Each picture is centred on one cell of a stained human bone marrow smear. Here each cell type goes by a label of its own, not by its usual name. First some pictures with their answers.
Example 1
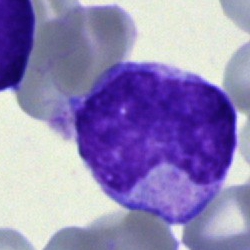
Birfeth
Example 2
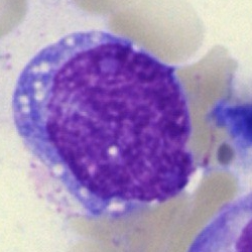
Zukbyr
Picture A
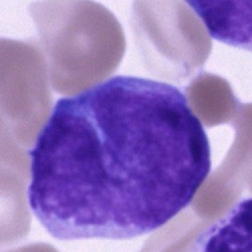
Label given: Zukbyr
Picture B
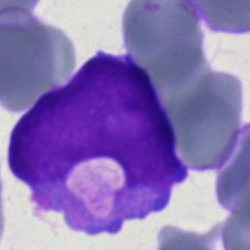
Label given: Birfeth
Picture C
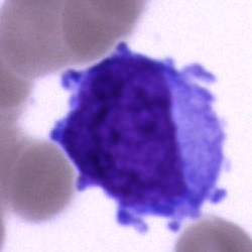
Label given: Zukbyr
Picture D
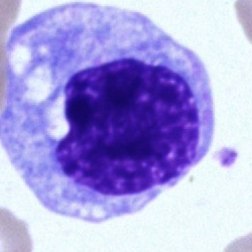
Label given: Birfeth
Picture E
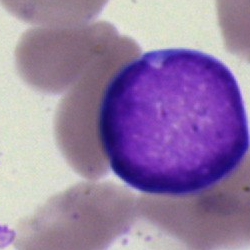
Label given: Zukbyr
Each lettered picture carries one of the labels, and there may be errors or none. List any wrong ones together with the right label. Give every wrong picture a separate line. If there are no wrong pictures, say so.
B: change Birfeth to Zukbyr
